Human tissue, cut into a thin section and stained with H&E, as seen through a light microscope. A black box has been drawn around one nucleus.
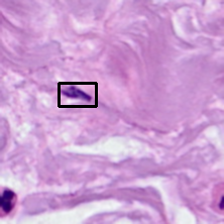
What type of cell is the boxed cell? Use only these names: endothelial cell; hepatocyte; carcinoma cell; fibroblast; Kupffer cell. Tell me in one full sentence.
In cell-type terms, the boxed cell is a fibroblast.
